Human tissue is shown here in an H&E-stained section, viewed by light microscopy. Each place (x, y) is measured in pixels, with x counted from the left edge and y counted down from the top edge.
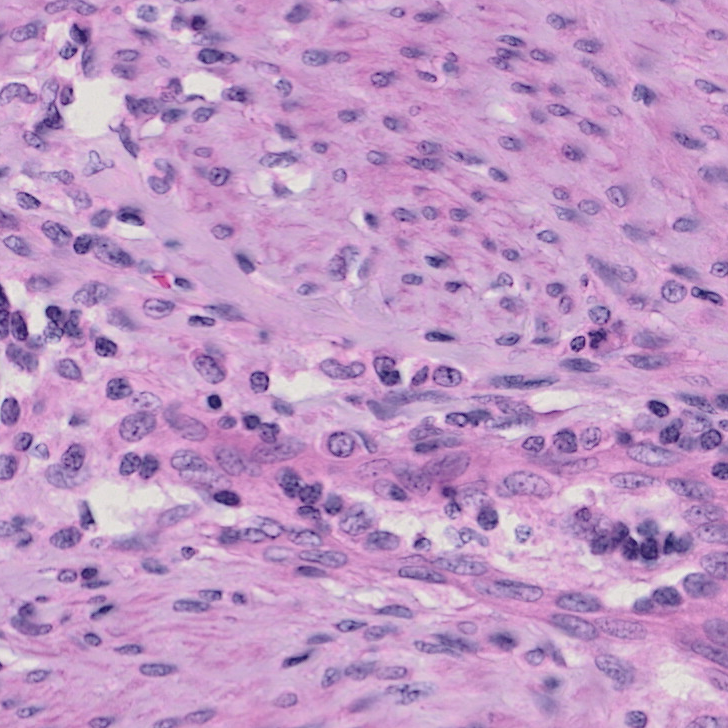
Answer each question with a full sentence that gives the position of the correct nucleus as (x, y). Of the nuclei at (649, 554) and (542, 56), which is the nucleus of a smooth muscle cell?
The one belonging to a smooth muscle cell is the nucleus at (542, 56), not the other.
